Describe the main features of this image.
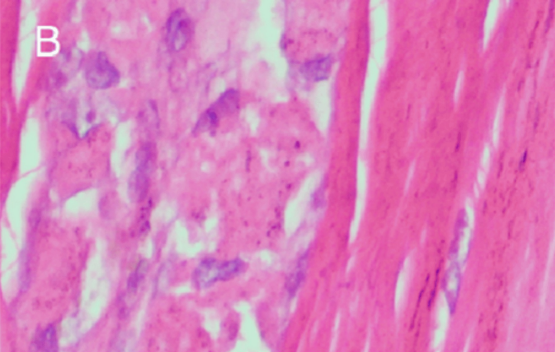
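Skeletal muscle in which the fibers on the left are pale, vacuolated and granular with scattered dark nuclei among them, while on the right lie intact, evenly pink, longitudinally running fibers. The contrast shows necrotic fibers beside preserved ones.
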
